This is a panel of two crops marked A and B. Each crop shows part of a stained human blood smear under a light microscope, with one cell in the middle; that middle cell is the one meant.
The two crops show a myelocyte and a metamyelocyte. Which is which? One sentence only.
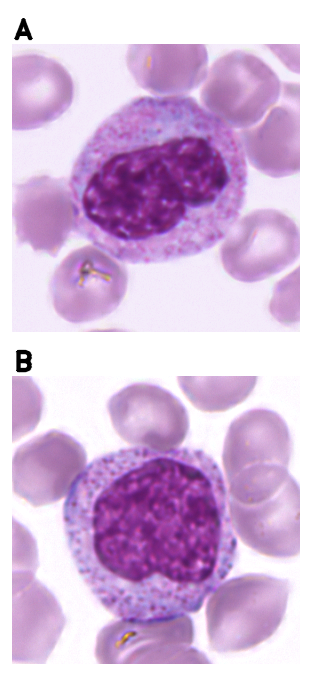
The middle of crop A is occupied by a metamyelocyte, and the middle of crop B by a myelocyte.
